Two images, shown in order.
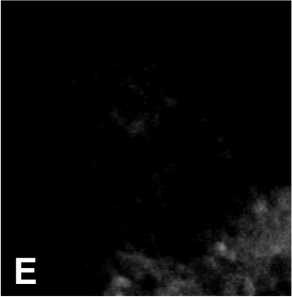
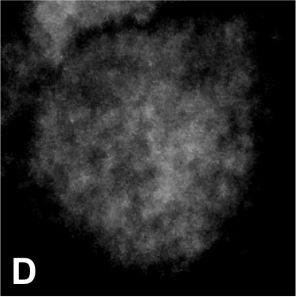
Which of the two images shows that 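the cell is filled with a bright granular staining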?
The second image.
